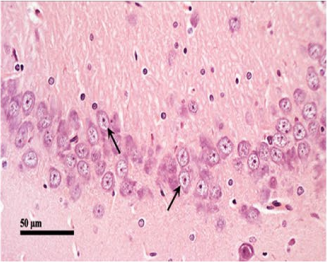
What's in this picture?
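This section of the hippocampus shows a curved band of pyramidal neurons lying in a pale pink, finely fibrous background. The neurons are large and rounded, each with a pale round nucleus and a distinct dark nucleolus, set in light purple cytoplasm. The cells are packed several deep along the band. Small, dark, round nuclei of other cells are scattered in the surrounding tissue.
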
